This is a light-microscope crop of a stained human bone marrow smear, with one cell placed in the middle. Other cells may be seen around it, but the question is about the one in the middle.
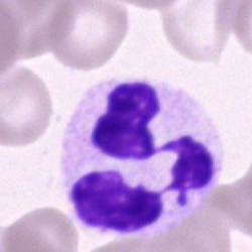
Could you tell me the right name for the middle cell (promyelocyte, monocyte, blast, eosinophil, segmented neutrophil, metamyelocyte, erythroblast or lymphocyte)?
segmented neutrophil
